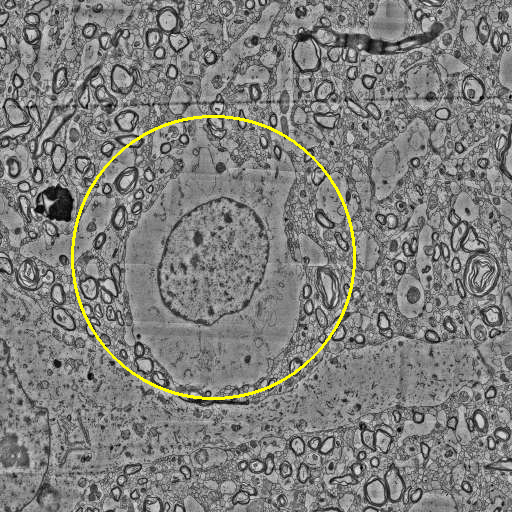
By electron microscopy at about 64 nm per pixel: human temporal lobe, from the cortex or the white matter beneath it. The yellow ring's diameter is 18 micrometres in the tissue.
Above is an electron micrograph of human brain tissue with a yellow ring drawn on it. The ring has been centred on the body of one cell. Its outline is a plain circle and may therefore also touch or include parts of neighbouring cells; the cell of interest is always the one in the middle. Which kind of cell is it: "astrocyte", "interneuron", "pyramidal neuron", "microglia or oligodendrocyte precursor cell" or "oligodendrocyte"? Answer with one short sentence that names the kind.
The ring's central cell body is that of an astrocyte.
